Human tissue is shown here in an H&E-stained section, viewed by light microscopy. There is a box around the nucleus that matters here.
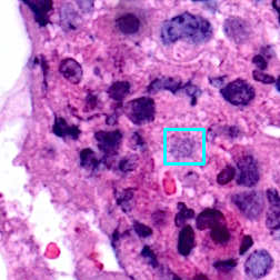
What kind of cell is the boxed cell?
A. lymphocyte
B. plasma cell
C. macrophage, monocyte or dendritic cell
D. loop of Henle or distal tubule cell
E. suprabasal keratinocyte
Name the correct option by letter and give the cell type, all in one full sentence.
Here the boxed cell is a macrophage, monocyte or dendritic cell, which makes option C correct.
